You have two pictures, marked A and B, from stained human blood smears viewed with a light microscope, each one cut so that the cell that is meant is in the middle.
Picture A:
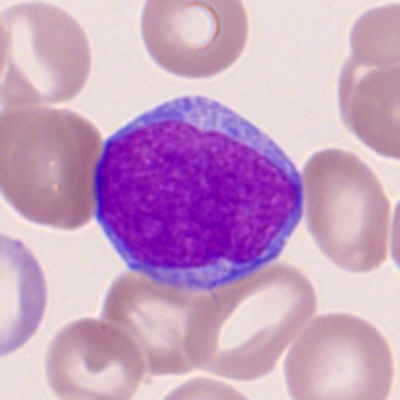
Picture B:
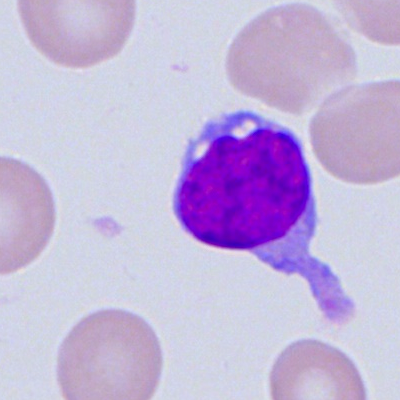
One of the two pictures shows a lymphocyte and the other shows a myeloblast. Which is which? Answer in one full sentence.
Picture A shows a myeloblast and picture B shows a lymphocyte.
